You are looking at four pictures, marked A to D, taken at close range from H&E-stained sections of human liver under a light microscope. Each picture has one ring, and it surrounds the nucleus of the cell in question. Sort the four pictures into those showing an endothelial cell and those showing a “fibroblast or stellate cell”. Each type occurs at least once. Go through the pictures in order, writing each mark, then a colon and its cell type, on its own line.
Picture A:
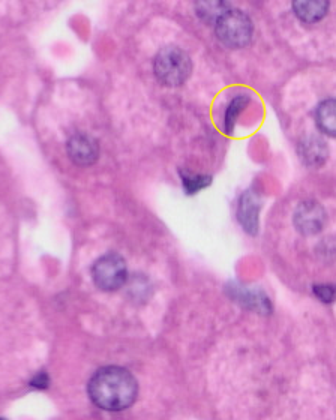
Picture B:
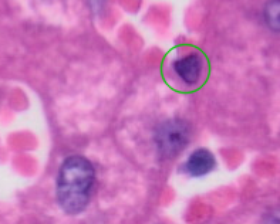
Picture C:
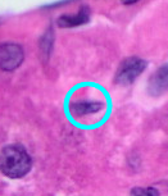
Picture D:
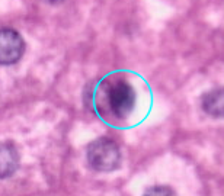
A: endothelial cell
B: fibroblast or stellate cell
C: fibroblast or stellate cell
D: endothelial cell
